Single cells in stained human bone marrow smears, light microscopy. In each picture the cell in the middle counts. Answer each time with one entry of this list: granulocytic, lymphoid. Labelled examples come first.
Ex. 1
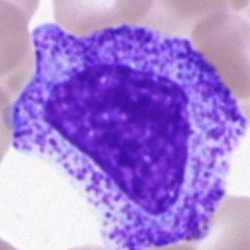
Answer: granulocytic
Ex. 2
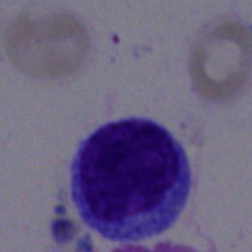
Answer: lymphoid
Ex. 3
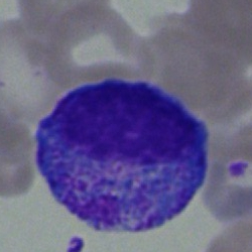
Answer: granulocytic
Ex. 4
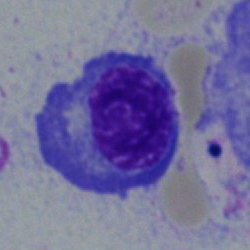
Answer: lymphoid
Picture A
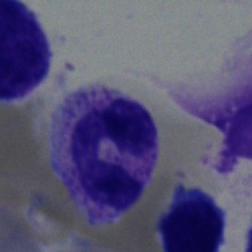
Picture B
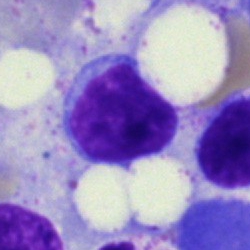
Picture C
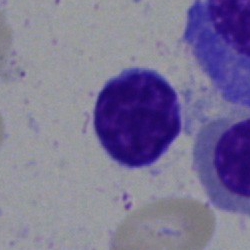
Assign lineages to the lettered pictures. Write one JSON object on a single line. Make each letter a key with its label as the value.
{"A": "granulocytic", "B": "lymphoid", "C": "lymphoid"}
